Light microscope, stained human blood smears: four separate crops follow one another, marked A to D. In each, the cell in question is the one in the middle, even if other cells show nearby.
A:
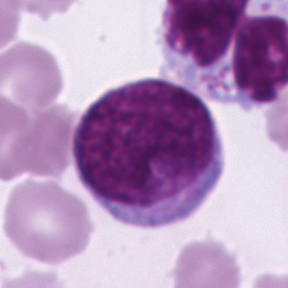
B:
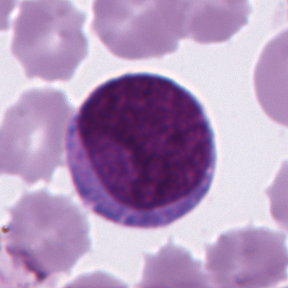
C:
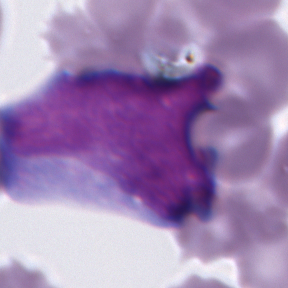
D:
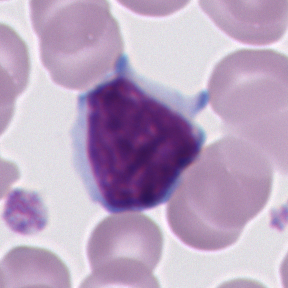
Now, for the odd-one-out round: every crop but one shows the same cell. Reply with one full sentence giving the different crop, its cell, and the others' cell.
The rest of the crops show myeloblasts; crop D is the one showing a typical lymphocyte.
